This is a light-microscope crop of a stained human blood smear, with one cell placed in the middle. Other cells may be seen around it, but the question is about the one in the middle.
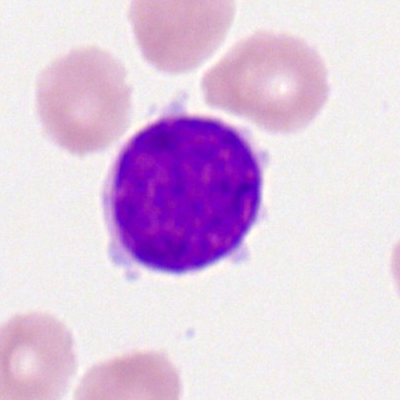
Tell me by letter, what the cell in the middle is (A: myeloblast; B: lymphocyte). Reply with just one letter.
B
